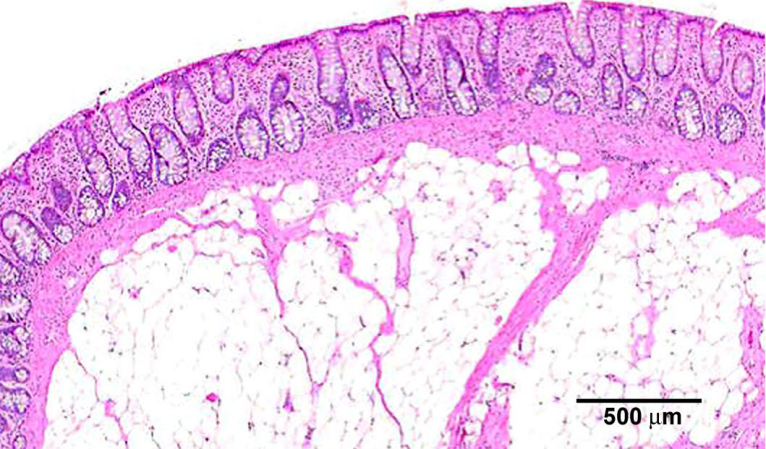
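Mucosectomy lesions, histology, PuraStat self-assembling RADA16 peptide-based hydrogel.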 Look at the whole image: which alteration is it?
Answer: Complete re-epithelialization.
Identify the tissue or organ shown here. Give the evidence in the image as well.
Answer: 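Straight tubular crypts rich in pale goblet cells. No villi on the mucosal surface.
Conclusion: colons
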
